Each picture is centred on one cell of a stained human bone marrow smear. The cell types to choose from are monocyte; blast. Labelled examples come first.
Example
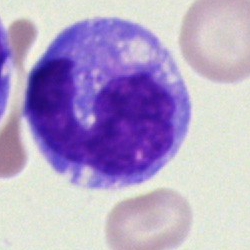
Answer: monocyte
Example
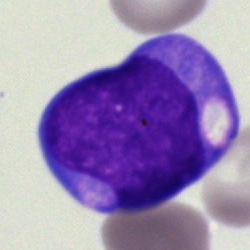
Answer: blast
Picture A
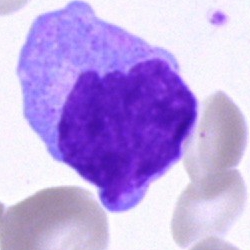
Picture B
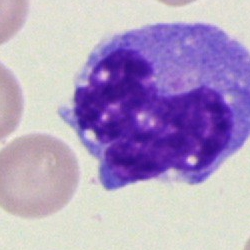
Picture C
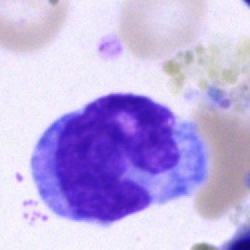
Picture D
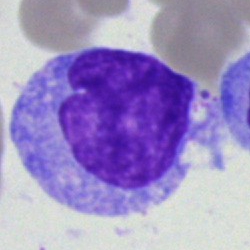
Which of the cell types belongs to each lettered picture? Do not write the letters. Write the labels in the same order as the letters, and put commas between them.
monocyte, monocyte, monocyte, monocyte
